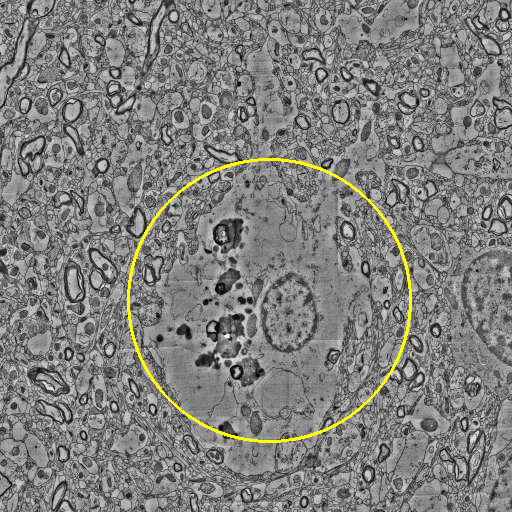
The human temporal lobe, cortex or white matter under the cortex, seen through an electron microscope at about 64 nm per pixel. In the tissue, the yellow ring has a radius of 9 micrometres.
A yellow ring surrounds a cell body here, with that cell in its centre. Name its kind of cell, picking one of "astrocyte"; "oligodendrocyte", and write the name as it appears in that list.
astrocyte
